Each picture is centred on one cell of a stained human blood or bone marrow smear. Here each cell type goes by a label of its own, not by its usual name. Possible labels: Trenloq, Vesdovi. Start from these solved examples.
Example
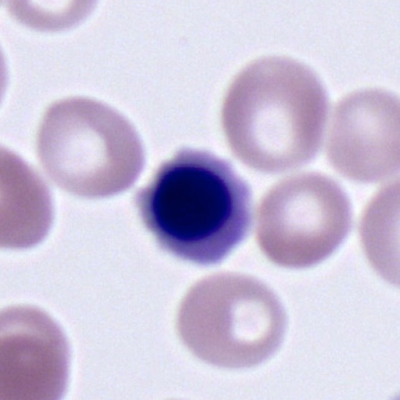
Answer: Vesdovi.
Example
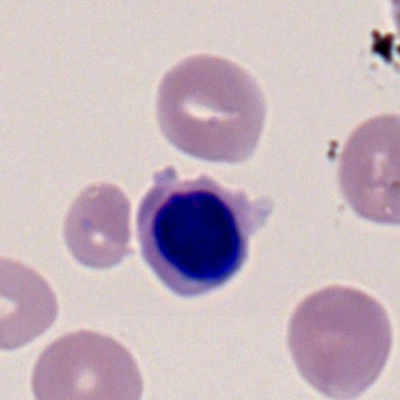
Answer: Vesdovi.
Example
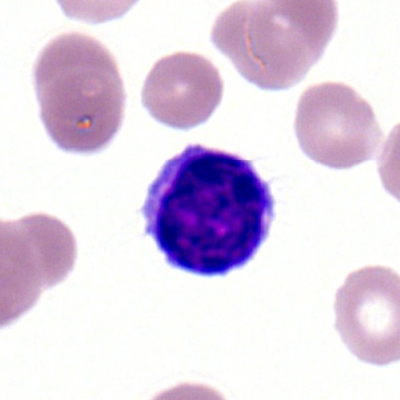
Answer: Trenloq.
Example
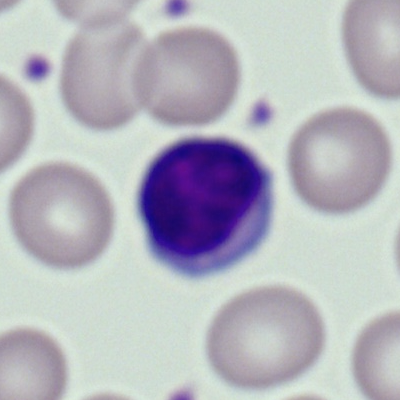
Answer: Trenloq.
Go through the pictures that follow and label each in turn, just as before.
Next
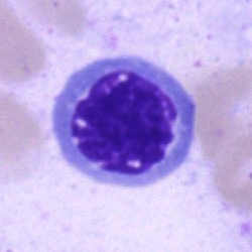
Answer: Vesdovi.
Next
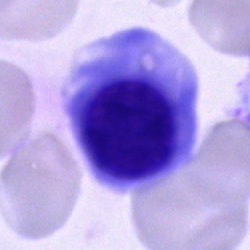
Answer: Vesdovi.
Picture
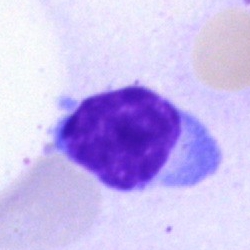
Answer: Trenloq.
